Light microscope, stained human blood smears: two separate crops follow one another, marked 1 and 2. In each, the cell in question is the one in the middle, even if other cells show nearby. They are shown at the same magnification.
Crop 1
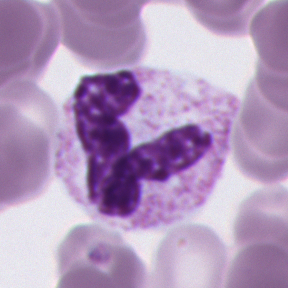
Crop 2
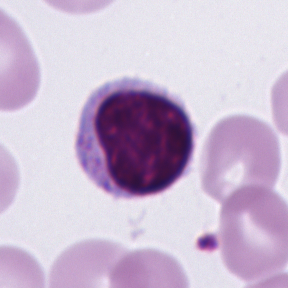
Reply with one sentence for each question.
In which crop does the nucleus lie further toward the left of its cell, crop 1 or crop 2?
It is the nucleus in crop 1 that lies further toward the left of its cell.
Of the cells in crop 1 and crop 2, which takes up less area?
It is the cell in crop 2; the cell in crop 1 has about 2 times its area.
